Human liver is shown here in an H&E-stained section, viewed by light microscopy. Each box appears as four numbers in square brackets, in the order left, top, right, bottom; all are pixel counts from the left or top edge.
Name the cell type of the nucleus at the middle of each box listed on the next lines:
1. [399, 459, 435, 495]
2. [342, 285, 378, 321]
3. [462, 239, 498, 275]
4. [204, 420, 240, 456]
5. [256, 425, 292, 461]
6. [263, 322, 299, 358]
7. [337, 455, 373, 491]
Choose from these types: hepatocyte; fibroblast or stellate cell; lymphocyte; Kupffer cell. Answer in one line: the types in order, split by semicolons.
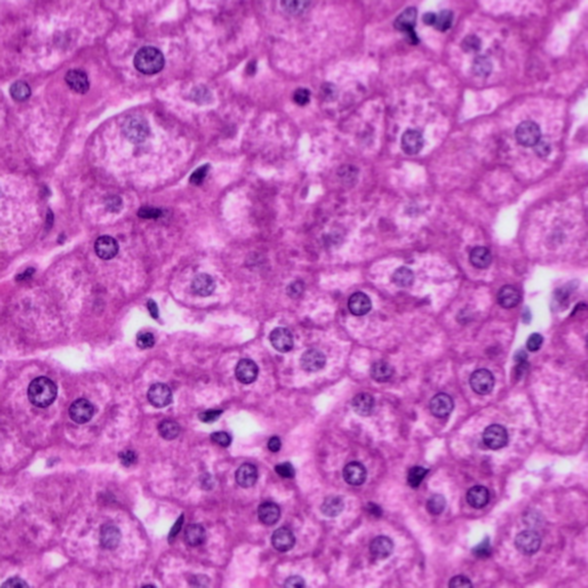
fibroblast or stellate cell; hepatocyte; hepatocyte; Kupffer cell; lymphocyte; hepatocyte; hepatocyte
